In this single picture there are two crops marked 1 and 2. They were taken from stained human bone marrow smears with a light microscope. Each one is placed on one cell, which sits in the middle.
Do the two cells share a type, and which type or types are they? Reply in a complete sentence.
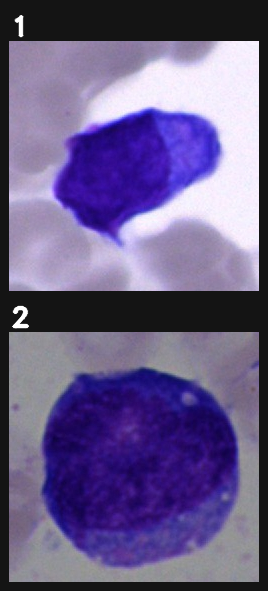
Yes, the two crops show blasts, both of them.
